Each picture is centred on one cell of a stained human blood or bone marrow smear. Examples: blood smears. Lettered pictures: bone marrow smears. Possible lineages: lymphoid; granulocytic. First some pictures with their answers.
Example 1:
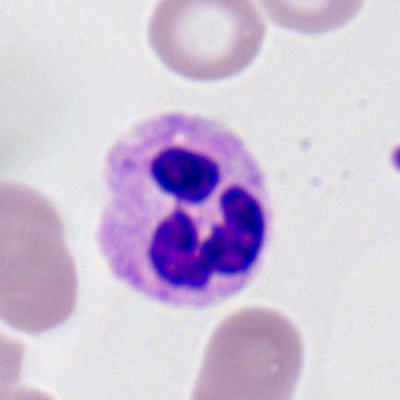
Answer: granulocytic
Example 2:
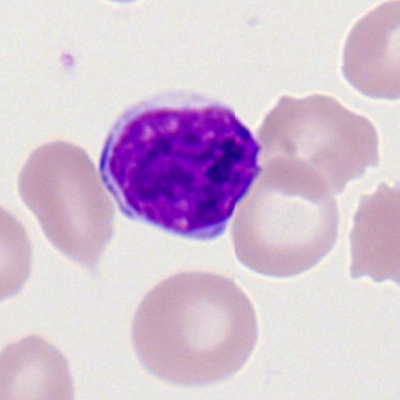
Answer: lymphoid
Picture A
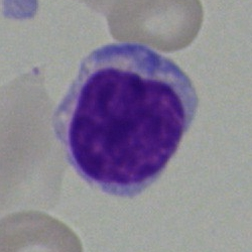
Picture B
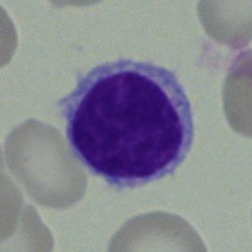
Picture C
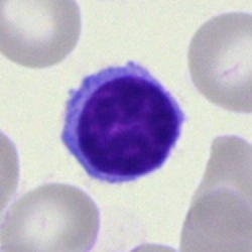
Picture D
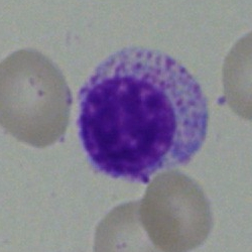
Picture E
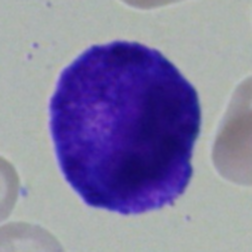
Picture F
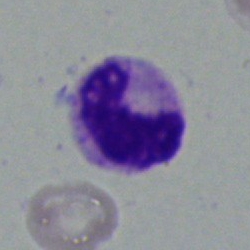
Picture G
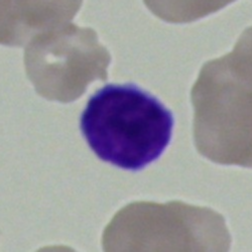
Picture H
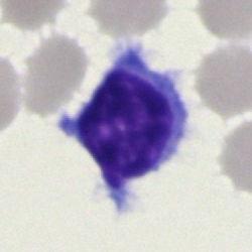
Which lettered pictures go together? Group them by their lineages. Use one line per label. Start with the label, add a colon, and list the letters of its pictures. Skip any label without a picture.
lymphoid: A, B, C, G, H
granulocytic: D, E, F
